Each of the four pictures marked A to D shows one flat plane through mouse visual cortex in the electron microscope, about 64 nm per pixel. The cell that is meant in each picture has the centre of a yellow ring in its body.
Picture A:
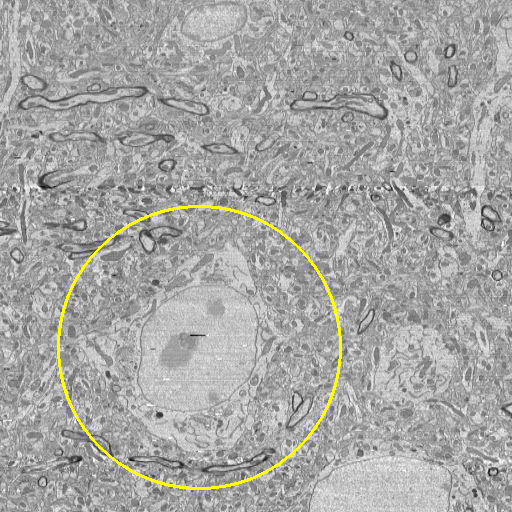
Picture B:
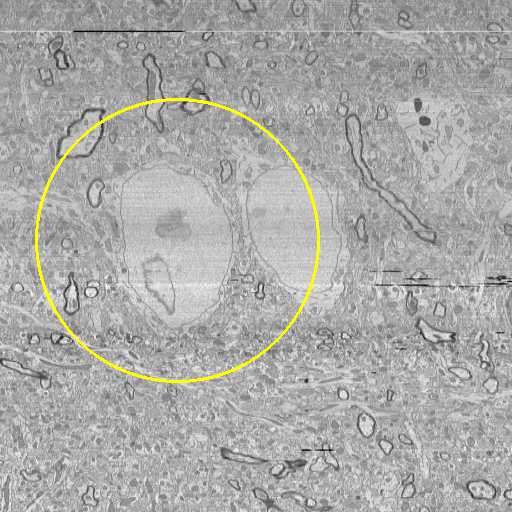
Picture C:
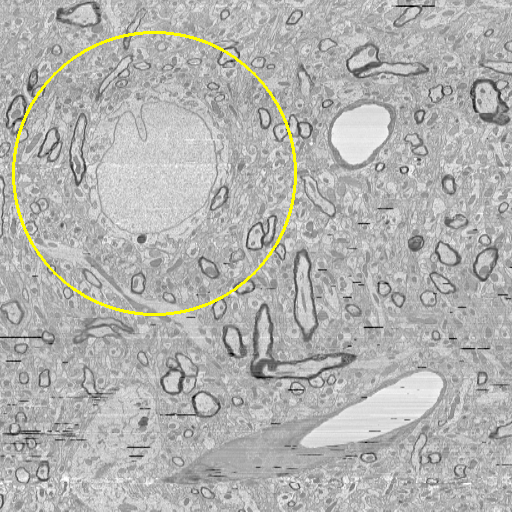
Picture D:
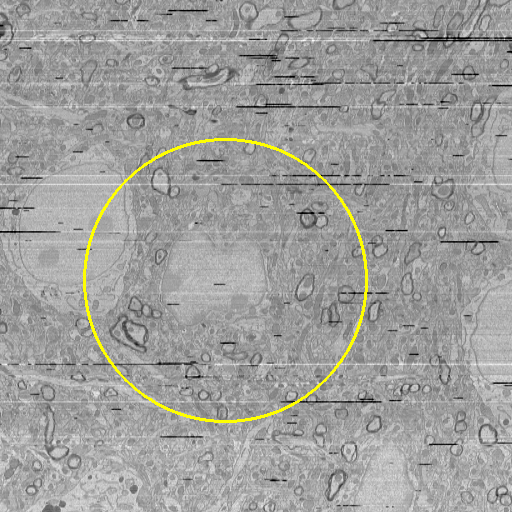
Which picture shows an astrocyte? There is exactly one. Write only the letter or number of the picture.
D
